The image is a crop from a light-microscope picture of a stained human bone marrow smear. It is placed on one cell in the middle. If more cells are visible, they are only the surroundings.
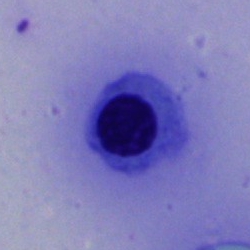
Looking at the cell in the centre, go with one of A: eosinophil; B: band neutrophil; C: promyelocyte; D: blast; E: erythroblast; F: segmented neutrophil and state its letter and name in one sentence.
In the centre of the crop there is an erythroblast, making option E correct.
